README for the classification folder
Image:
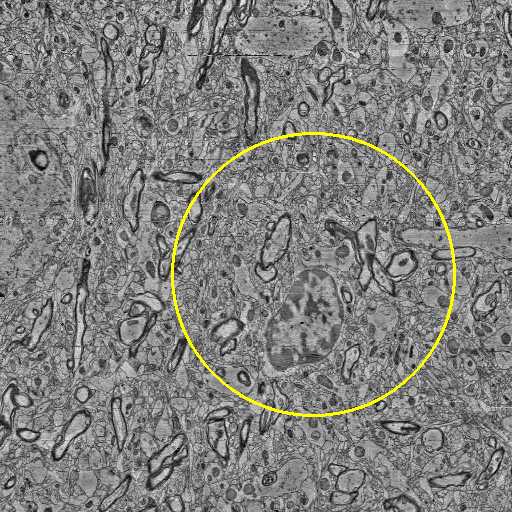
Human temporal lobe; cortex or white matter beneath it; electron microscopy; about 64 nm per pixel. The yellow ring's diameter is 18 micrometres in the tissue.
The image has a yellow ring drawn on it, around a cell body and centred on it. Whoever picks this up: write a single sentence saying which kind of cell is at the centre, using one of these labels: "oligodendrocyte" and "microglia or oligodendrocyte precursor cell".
This cell body is that of a microglial cell or oligodendrocyte precursor cell.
